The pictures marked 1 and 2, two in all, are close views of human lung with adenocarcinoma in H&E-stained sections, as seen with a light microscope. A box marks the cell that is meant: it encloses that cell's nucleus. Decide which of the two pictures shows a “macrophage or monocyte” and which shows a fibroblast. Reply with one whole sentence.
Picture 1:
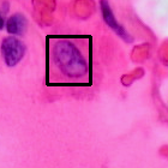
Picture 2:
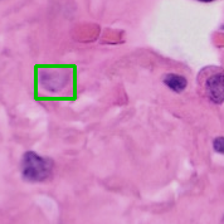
It is picture 1 that shows a “macrophage or monocyte”, and picture 2 that shows a fibroblast.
